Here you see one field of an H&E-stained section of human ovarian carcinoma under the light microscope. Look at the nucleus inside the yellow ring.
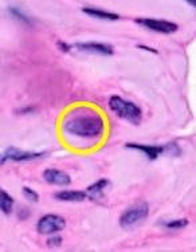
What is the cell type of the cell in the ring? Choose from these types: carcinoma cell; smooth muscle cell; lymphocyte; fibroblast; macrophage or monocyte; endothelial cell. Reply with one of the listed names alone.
smooth muscle cell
